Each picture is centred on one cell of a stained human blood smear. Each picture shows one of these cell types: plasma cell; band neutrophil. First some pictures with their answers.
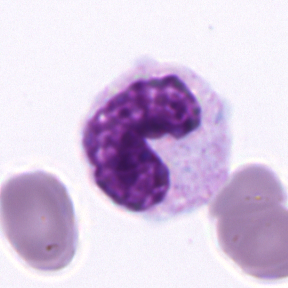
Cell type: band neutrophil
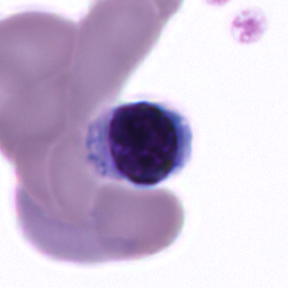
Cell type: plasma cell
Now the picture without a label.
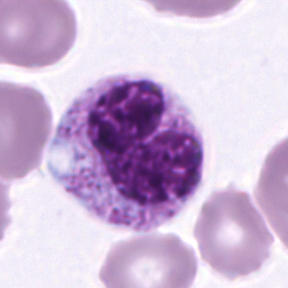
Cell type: band neutrophil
